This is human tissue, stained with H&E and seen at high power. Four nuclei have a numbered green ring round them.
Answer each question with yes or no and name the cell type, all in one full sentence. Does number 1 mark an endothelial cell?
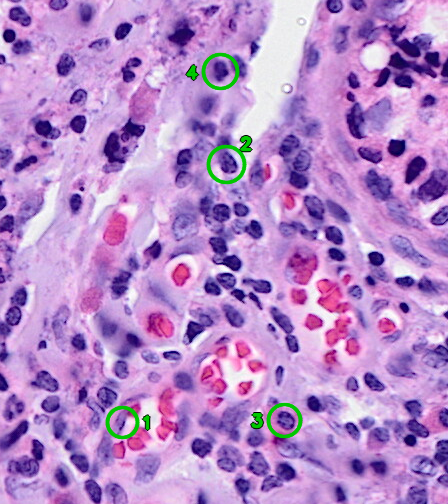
Yes, the cell corresponding to number 1 is an endothelial cell.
